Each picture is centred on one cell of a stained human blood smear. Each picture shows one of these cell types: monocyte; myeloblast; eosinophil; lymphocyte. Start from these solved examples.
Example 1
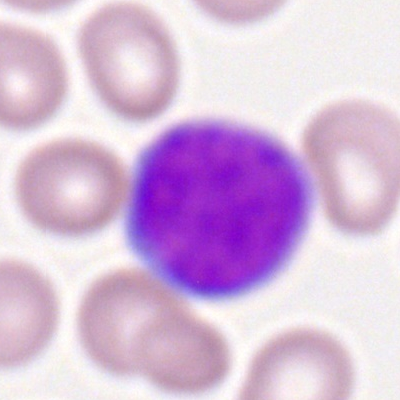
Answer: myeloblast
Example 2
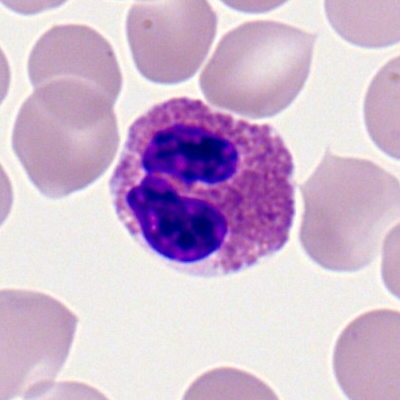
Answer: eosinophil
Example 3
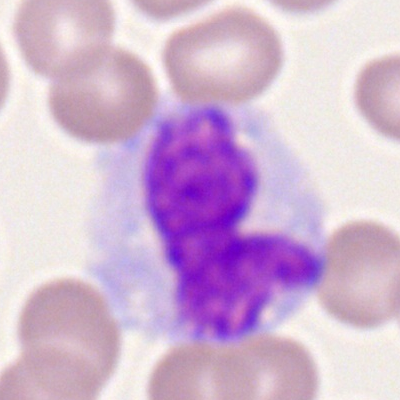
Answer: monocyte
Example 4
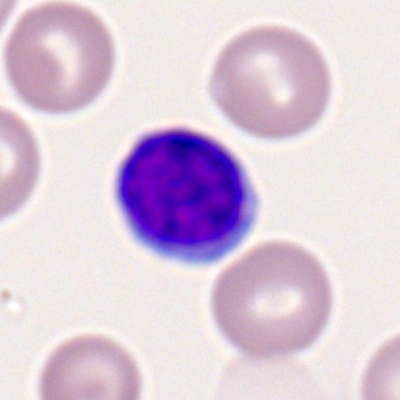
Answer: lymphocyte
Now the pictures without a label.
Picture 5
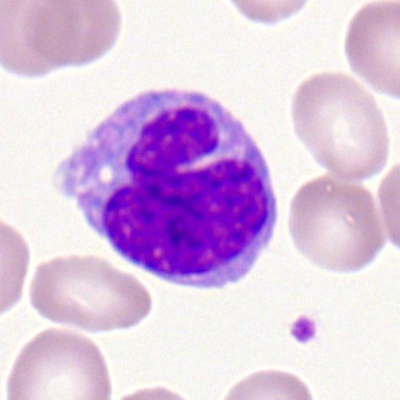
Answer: monocyte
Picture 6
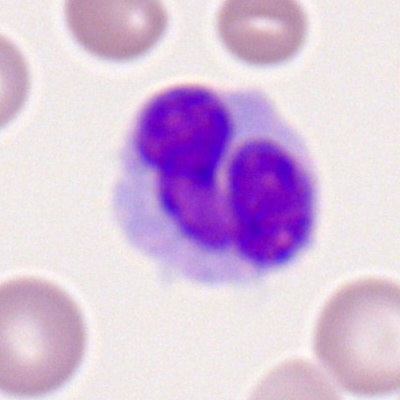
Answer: monocyte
